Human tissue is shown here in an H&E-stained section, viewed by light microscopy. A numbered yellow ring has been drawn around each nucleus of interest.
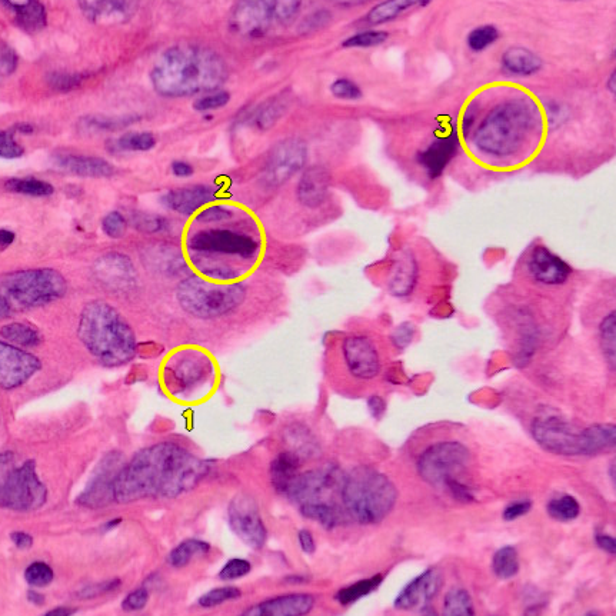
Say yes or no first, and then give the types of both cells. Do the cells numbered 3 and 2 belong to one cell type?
Yes, cells 3 and 2 are both carcinoma cells and thus of one type.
